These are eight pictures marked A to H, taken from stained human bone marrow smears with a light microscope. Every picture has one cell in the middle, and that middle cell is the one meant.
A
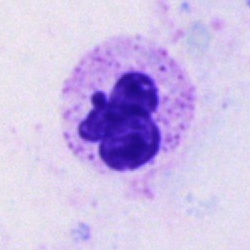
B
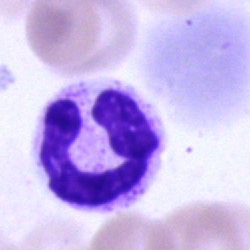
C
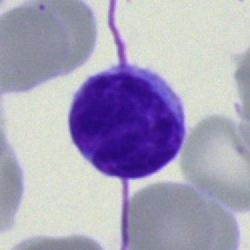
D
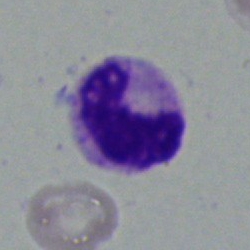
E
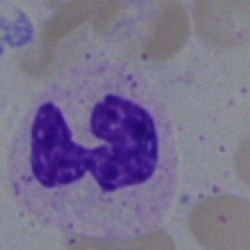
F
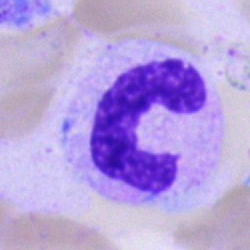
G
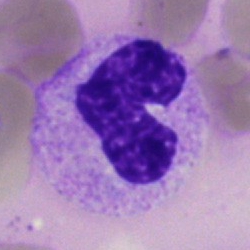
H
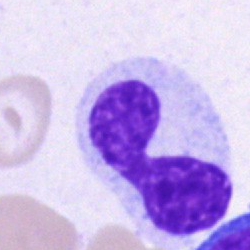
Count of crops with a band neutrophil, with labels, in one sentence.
It is crops D, F, G and H, four in all, that show band neutrophils.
